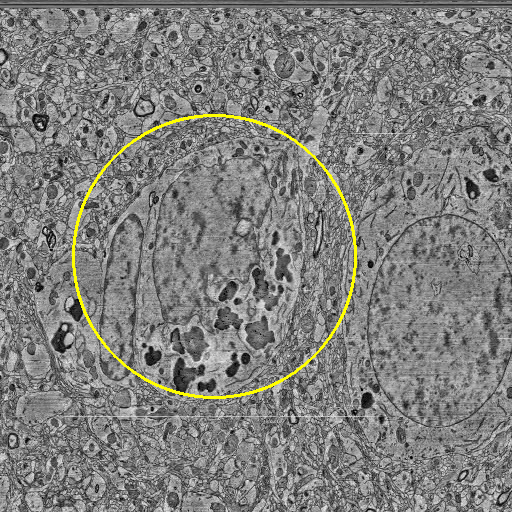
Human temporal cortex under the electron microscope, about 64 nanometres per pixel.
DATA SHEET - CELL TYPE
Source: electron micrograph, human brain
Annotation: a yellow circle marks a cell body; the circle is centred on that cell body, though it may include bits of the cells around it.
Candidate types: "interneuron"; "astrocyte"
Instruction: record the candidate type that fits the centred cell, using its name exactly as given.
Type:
interneuron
